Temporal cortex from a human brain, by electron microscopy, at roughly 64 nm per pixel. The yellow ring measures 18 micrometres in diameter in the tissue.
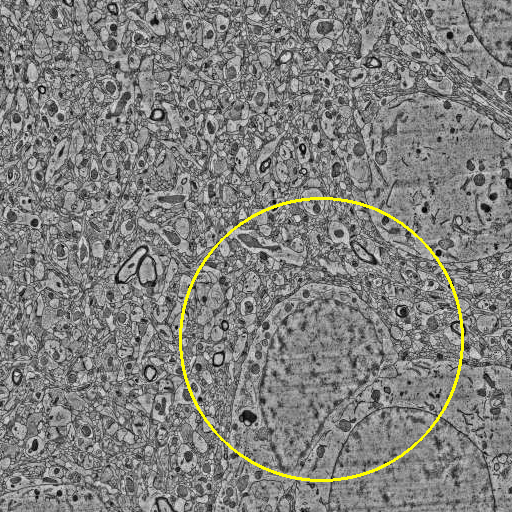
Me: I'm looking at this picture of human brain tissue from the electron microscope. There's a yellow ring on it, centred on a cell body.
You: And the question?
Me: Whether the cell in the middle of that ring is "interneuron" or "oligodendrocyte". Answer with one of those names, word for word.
interneuron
